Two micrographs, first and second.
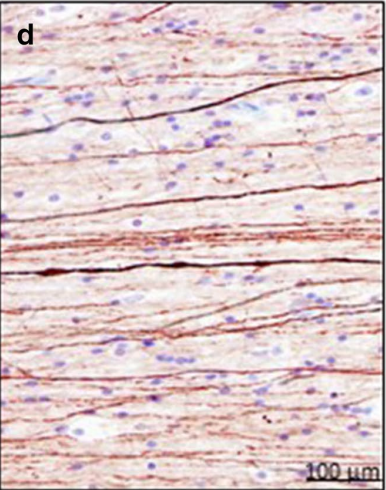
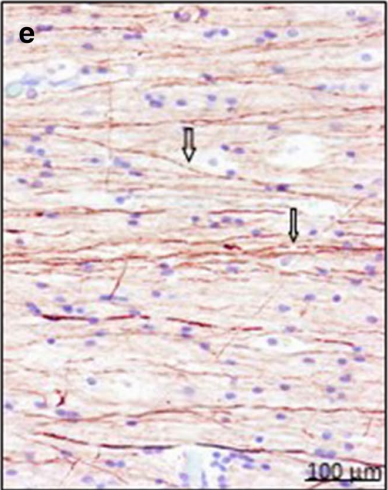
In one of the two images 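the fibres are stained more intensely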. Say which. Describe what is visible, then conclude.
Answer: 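The first image. Second image: most fibres are thin and pale red-brown.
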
